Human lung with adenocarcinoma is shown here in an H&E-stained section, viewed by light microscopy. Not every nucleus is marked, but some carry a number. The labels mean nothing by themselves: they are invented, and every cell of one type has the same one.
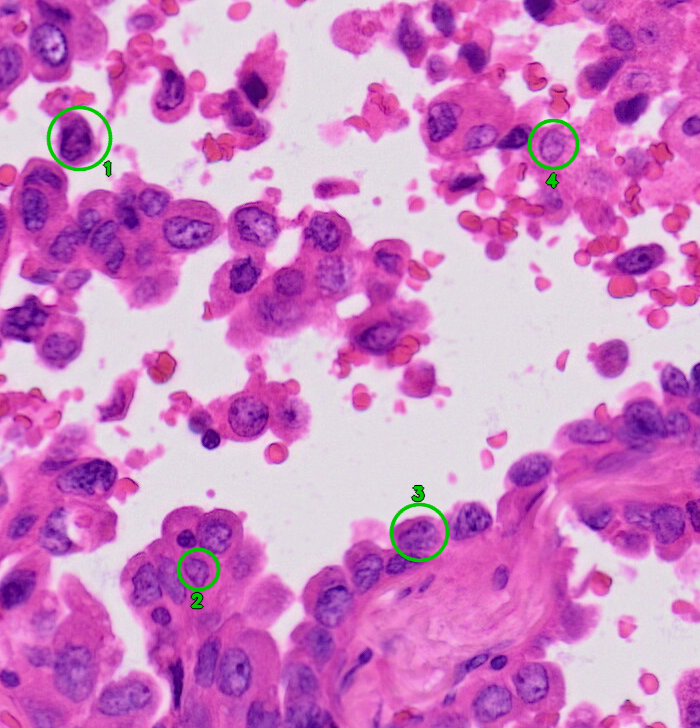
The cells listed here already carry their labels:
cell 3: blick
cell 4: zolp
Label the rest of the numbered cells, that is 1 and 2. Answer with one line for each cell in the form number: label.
1: blick
2: blick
